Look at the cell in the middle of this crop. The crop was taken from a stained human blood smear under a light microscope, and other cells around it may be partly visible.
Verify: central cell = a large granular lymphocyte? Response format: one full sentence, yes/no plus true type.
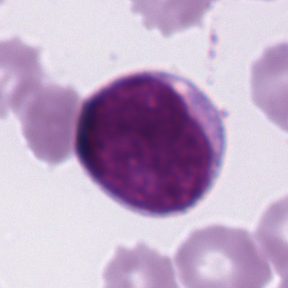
No, the centrally located cell is a blast rather than a large granular lymphocyte.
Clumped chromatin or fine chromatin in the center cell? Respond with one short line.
The chromatin is fine, with no coarse clumping anywhere.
